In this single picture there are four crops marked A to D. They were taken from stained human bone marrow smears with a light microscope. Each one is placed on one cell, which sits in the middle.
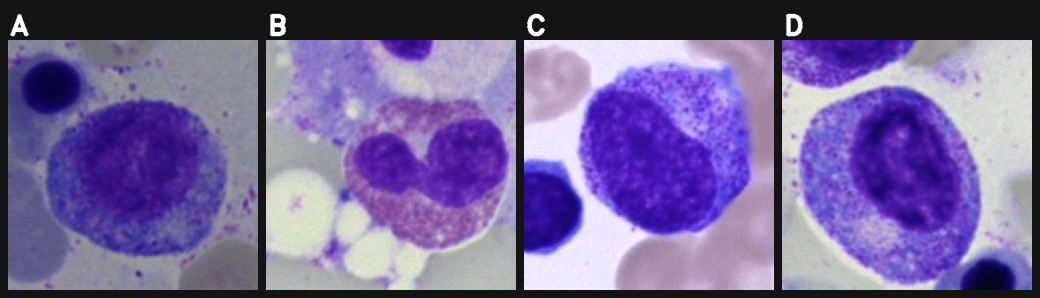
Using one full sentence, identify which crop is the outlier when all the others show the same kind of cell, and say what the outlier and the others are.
Found in all crops but one are promyelocytes; the exception, crop B, contains an eosinophil.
